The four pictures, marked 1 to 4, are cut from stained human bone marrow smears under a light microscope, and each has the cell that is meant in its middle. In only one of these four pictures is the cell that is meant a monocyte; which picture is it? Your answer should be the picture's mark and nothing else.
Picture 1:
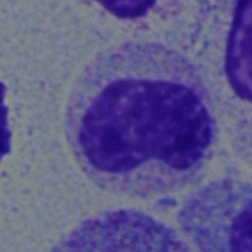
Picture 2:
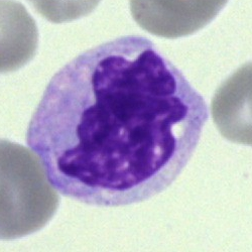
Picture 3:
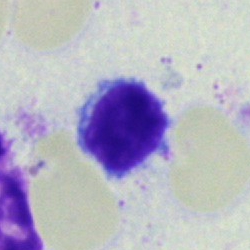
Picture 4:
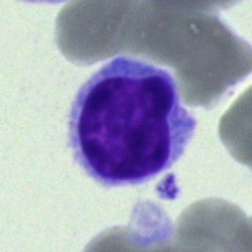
2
